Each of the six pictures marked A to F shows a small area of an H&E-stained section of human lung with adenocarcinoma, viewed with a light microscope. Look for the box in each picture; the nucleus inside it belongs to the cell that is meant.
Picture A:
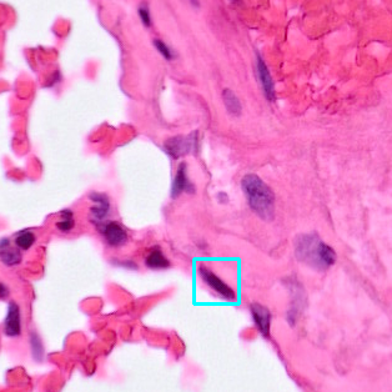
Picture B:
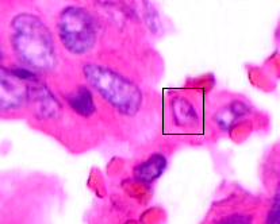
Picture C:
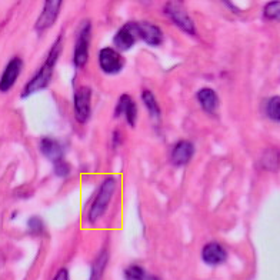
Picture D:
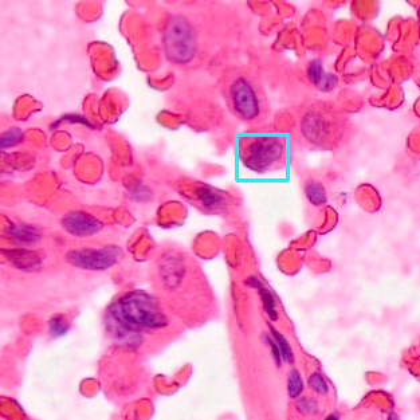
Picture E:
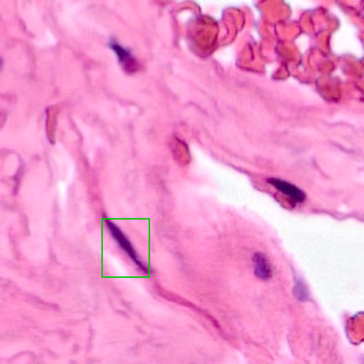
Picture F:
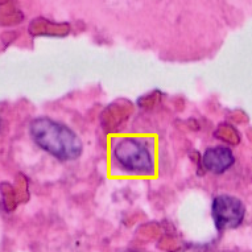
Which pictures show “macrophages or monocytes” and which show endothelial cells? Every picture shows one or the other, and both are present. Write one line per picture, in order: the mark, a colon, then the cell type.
A: endothelial cell
B: macrophage or monocyte
C: endothelial cell
D: macrophage or monocyte
E: endothelial cell
F: macrophage or monocyte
